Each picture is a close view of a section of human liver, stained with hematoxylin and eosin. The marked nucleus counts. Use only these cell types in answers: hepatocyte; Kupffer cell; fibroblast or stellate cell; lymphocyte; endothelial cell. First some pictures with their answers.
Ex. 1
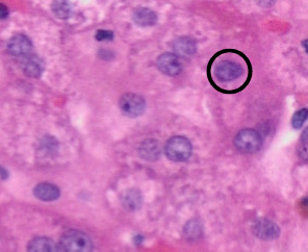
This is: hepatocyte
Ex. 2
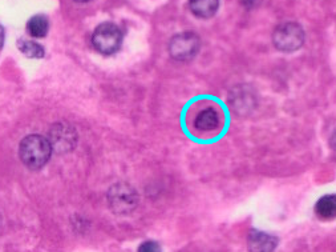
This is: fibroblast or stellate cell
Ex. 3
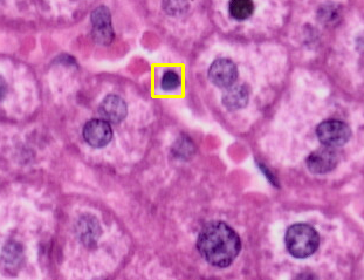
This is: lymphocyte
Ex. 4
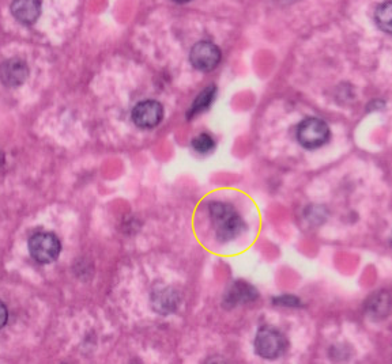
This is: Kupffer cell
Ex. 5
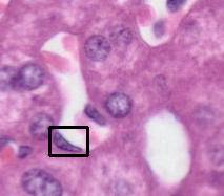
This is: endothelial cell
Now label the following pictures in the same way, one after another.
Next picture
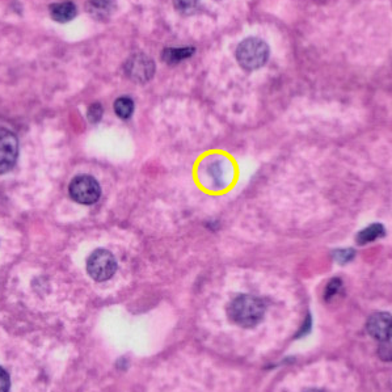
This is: endothelial cell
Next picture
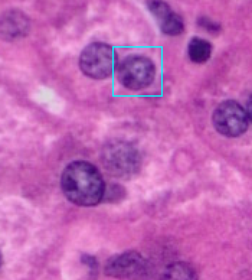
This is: hepatocyte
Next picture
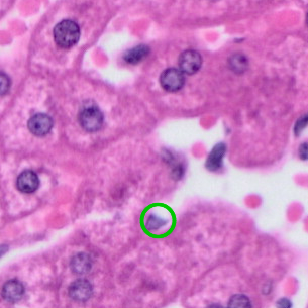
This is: endothelial cell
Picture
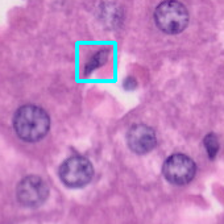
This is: endothelial cell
